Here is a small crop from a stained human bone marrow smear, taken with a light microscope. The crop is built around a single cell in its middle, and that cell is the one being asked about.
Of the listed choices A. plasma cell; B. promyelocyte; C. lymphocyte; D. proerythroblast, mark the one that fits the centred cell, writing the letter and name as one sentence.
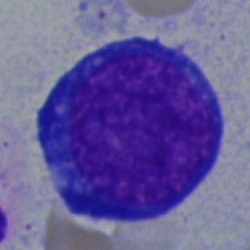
This one is option D, since the cell at the center is a proerythroblast.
